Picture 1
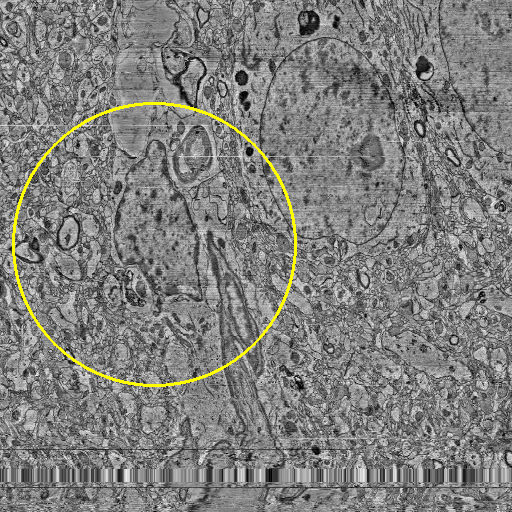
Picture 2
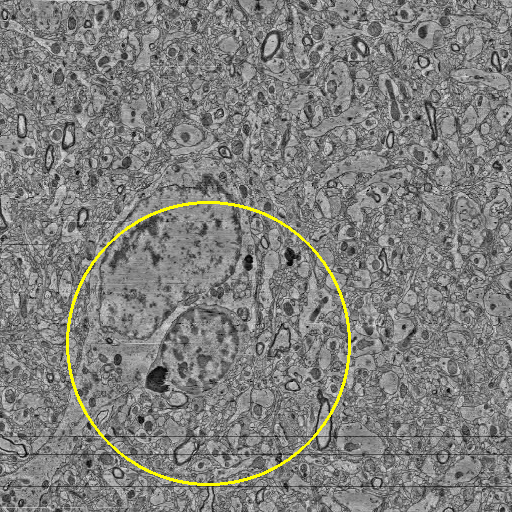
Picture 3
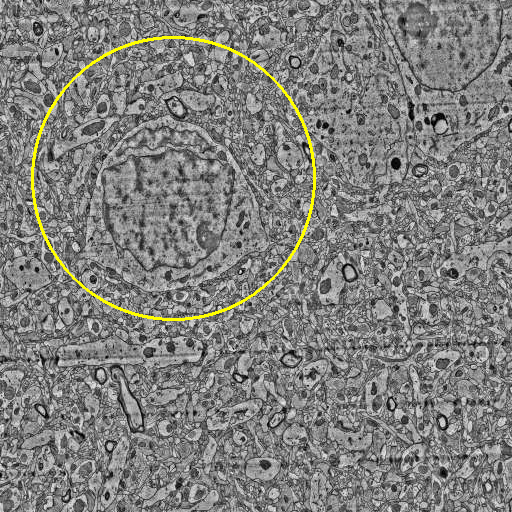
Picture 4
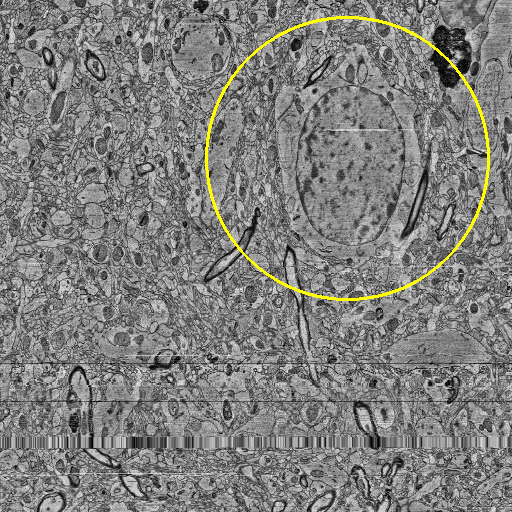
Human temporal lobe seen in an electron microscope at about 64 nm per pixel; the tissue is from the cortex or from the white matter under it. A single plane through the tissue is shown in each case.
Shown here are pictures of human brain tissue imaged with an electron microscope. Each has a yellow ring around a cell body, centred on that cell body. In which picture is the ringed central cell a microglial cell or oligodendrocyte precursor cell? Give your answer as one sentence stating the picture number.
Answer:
My answer is picture 1, where the ringed cell at the centre is the one sought.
